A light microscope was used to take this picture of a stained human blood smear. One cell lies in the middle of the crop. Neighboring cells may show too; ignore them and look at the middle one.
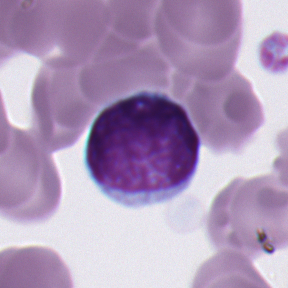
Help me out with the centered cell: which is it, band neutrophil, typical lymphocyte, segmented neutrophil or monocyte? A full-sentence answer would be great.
The cell centered in this field of view is a typical lymphocyte.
